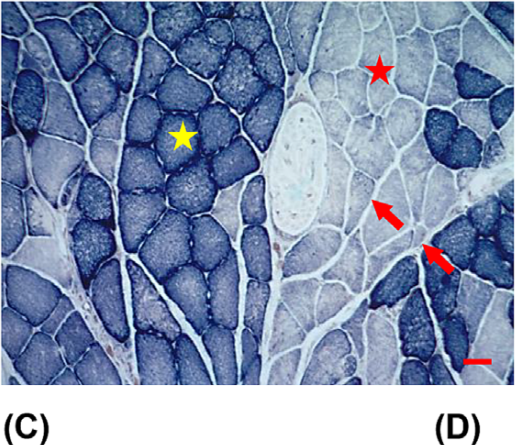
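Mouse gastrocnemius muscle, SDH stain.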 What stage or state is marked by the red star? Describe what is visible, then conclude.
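The starred fibre lies in a cluster of pale-stained fibres. The pale fibres are grouped together apart from the dark ones. On this evidence: glycolytic.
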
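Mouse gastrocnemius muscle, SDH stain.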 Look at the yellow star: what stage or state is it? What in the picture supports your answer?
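The starred fibre lies in a cluster of fibres stained dark blue. The dark fibres lie next to one another as a group.
Answer: oxidative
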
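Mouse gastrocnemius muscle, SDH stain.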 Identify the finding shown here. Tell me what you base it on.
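Dark blue fibres cluster together in one area. Pale fibres cluster together in another area instead of a mosaic. On this evidence: fibre type groupings.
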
